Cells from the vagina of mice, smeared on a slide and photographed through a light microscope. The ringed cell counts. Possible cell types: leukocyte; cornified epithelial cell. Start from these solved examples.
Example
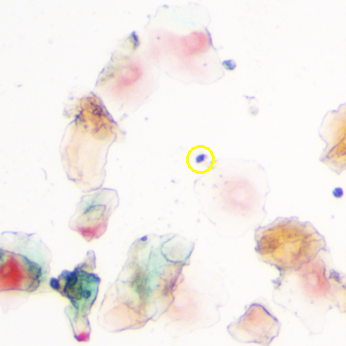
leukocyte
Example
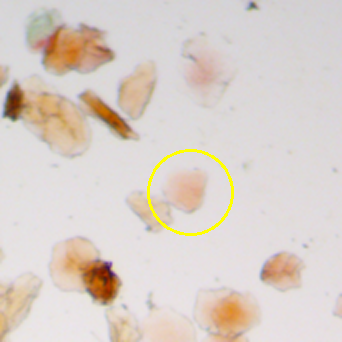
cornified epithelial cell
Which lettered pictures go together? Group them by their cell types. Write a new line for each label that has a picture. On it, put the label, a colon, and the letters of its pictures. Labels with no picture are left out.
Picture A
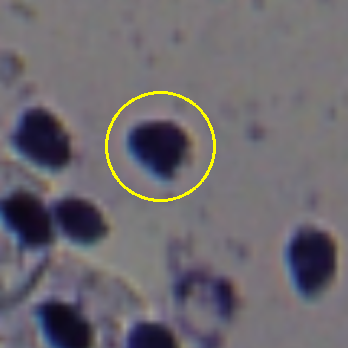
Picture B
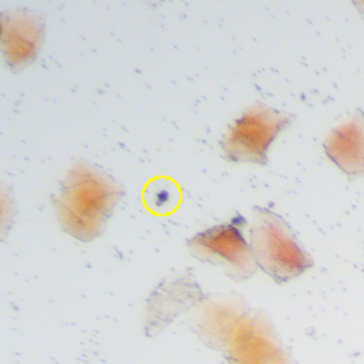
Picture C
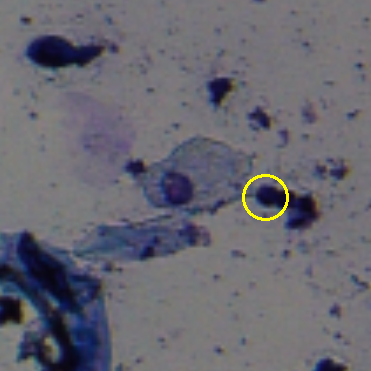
leukocyte: A, B, C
